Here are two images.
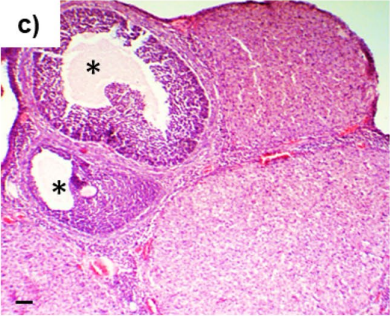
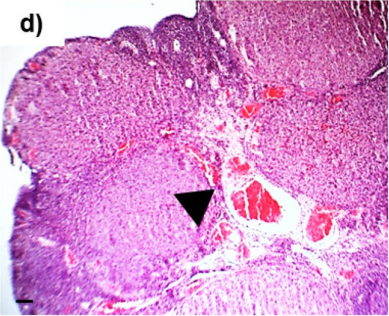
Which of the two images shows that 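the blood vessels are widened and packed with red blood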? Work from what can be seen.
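First image: only small, narrow red vessel profiles are scattered in the tissue. Second image: several large vessel lumina are filled with bright red contents.
Answer: the second image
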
